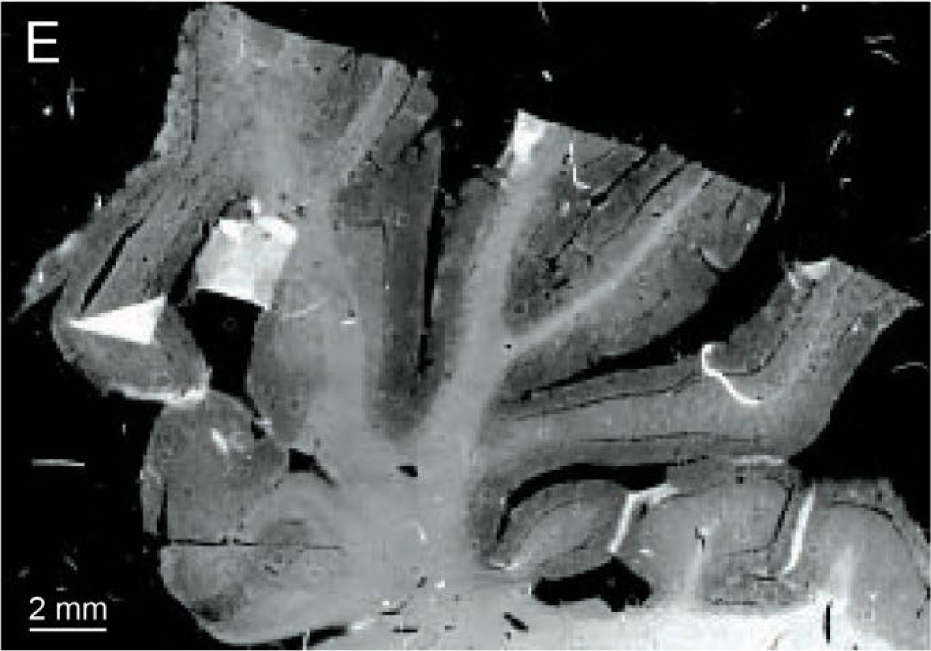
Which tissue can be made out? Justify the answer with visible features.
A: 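Folded lobules branch from a central bright stem. On this evidence: cerebellum.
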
